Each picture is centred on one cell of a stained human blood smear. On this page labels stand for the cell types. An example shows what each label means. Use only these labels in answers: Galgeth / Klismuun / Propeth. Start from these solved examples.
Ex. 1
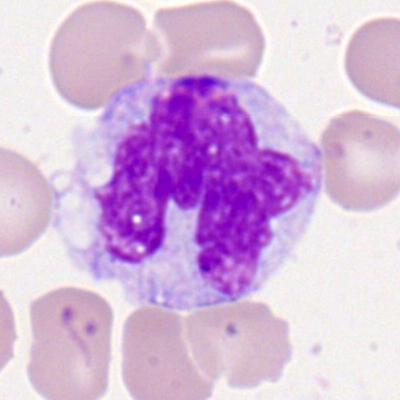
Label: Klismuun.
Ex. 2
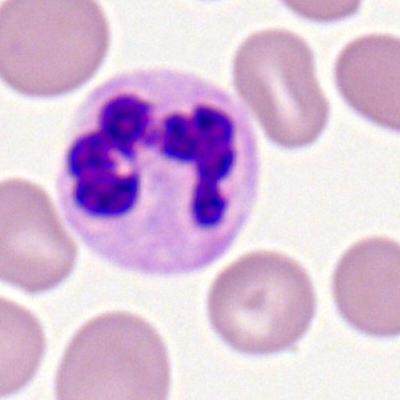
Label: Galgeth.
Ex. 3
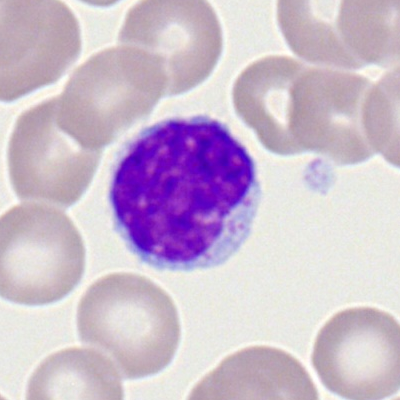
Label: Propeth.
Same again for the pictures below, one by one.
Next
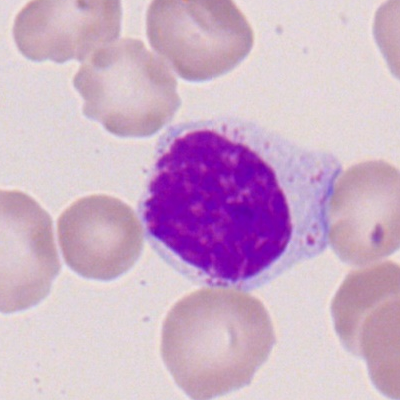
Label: Propeth.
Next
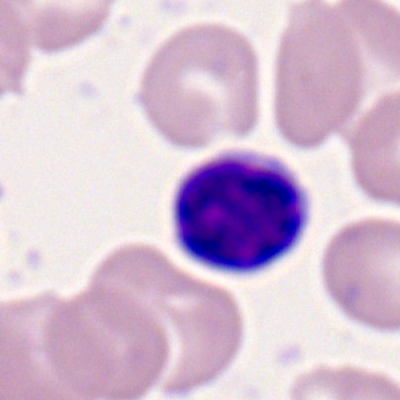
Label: Propeth.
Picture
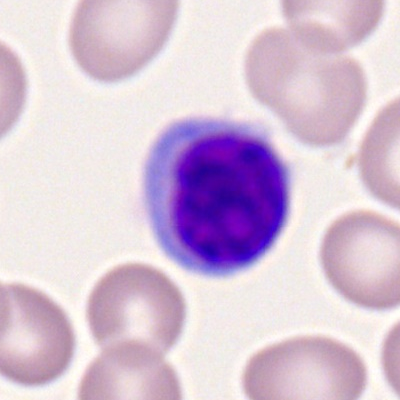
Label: Propeth.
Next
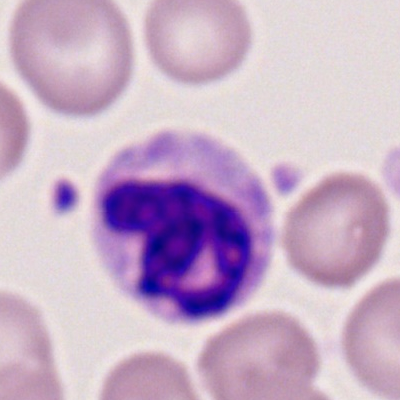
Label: Galgeth.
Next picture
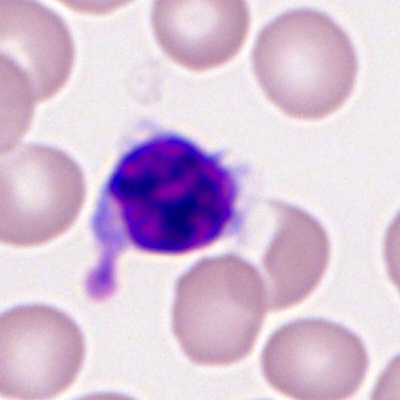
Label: Propeth.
